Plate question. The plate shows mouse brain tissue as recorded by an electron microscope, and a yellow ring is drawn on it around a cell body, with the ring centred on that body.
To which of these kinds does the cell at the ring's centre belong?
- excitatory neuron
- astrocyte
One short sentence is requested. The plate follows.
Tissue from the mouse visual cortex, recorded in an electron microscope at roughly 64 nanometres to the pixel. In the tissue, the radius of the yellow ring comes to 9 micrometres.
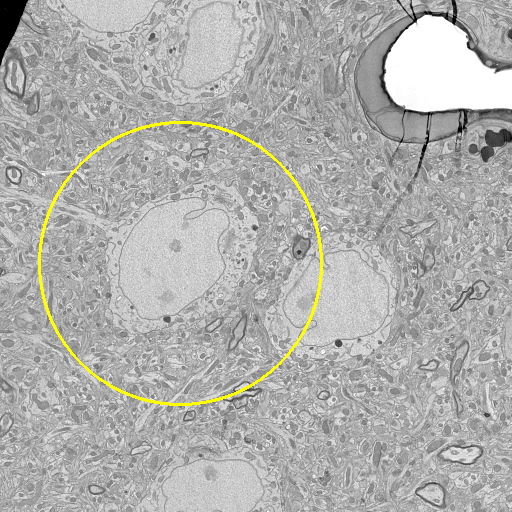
The cell at the ring's centre is an excitatory neuron.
